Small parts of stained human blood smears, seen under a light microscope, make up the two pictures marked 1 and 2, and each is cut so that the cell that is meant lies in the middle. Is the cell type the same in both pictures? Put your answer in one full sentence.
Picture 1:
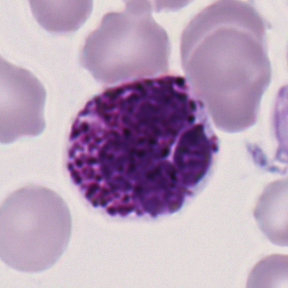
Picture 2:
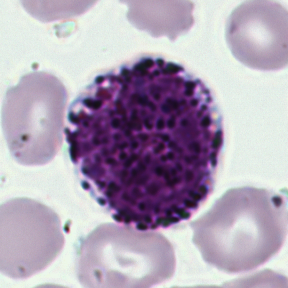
Yes, they are the same type: both are basophils.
